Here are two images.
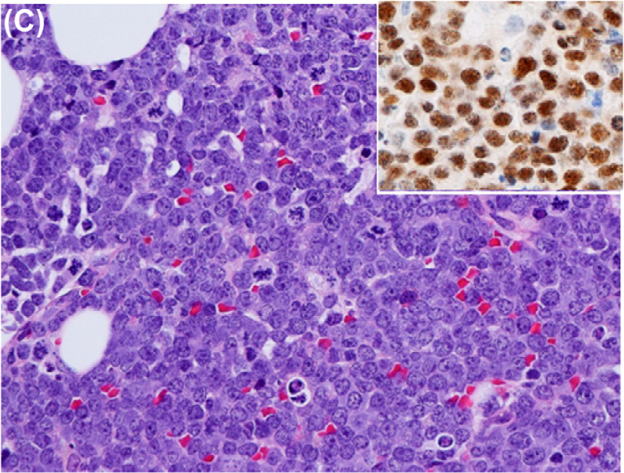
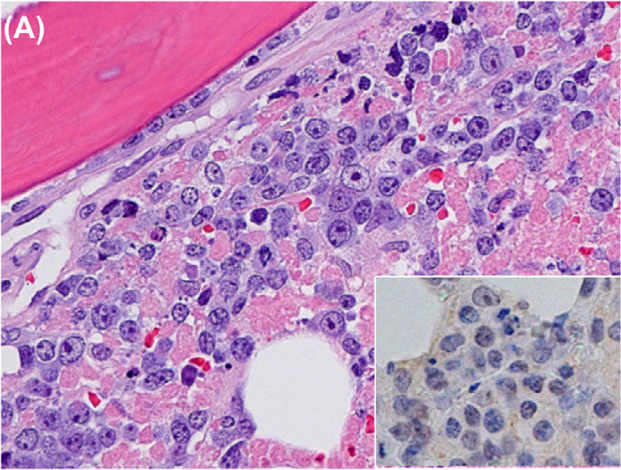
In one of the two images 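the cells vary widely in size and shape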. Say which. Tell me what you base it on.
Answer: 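First image: the cells are closely packed and similar in size and shape. Second image: nuclei differ markedly in size and shape, some large and irregular.
Hence: the second image.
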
